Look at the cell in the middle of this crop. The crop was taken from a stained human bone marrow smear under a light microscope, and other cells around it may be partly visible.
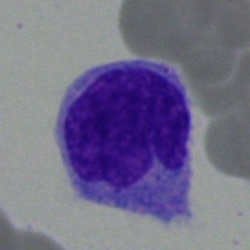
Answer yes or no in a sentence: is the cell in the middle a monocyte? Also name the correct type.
Yes, the central cell is to be recorded as a monocyte.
